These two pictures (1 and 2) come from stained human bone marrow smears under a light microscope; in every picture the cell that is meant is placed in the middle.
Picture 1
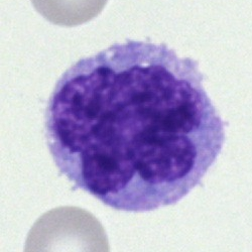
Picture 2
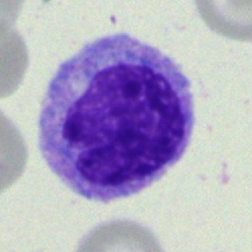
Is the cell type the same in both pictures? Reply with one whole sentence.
Yes, the two pictures both show monocytes.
